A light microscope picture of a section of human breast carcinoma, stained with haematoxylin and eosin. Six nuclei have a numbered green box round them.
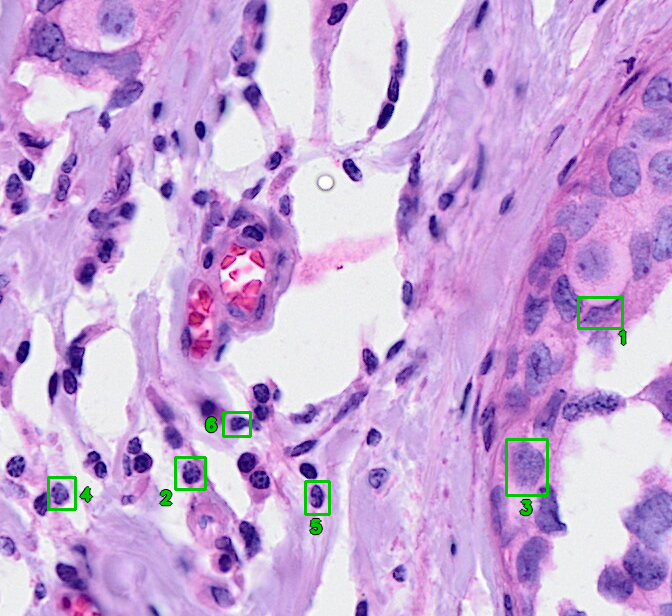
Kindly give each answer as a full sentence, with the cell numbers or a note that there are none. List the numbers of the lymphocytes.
The cells shown with numbers 2, 4, 5 and 6 are lymphocytes.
